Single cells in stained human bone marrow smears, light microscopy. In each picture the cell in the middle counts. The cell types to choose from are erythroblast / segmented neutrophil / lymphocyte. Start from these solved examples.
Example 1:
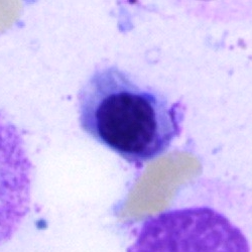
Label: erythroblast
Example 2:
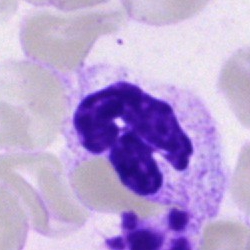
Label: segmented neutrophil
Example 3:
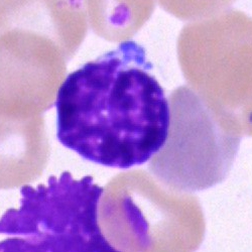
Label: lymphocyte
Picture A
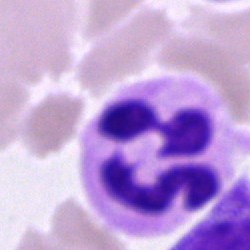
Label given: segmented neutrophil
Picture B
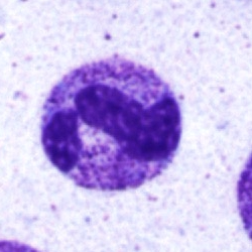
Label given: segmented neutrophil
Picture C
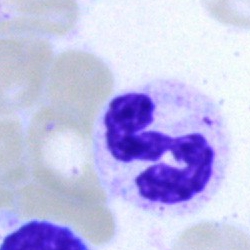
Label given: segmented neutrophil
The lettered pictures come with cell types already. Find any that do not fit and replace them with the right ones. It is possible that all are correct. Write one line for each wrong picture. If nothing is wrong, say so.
All labels are correct.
